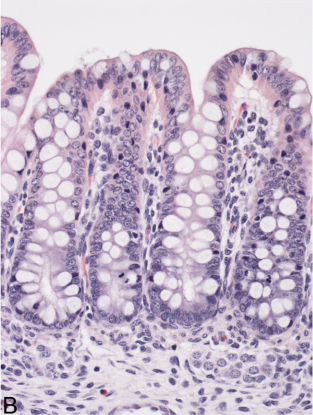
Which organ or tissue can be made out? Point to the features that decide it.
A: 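Straight tubular crypts reach a flat surface without villi. Crypts are packed with many goblet cells with clear mucin vacuoles.
Large intestine.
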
